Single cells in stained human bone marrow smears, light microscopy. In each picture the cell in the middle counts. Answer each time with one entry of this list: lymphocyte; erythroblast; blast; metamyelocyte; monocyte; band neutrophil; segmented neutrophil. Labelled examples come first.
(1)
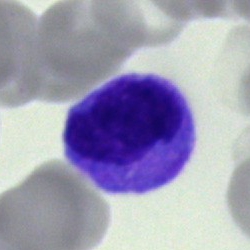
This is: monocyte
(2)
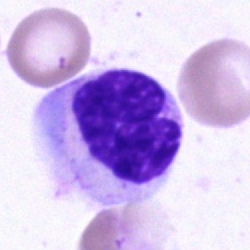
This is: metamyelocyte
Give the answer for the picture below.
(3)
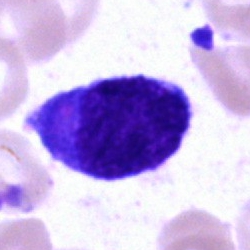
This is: blast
